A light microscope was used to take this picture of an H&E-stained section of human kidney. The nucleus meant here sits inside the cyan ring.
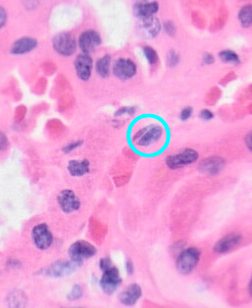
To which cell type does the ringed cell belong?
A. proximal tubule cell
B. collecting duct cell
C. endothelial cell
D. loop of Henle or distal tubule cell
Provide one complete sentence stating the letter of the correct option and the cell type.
The correct choice is option C; the ringed cell is an endothelial cell.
